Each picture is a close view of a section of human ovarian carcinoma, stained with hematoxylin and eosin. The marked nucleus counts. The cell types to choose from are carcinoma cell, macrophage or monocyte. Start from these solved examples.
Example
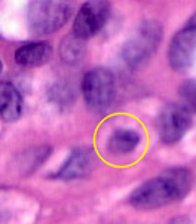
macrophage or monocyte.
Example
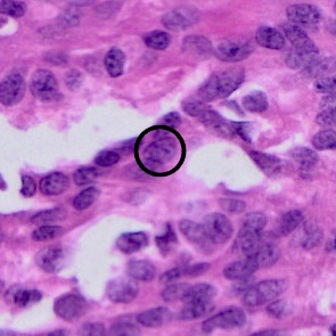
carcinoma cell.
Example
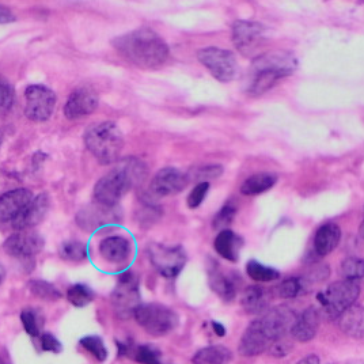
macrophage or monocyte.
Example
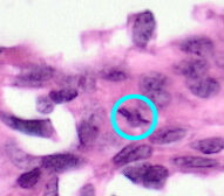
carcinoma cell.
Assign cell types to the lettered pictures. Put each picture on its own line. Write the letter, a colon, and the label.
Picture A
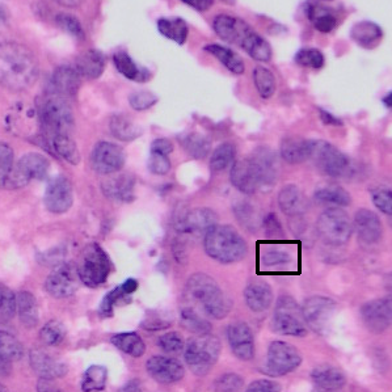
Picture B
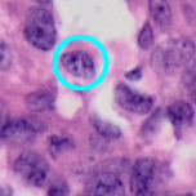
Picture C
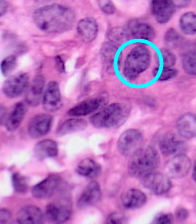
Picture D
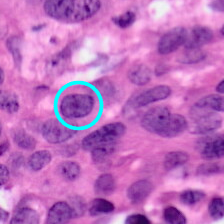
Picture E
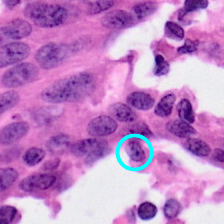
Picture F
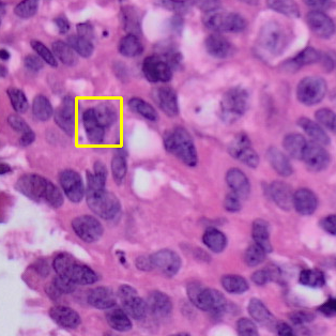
A: macrophage or monocyte.
B: macrophage or monocyte.
C: carcinoma cell.
D: carcinoma cell.
E: macrophage or monocyte.
F: carcinoma cell.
